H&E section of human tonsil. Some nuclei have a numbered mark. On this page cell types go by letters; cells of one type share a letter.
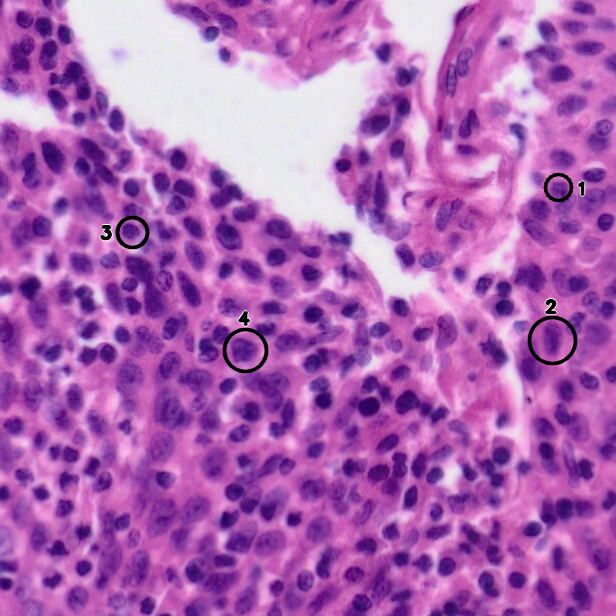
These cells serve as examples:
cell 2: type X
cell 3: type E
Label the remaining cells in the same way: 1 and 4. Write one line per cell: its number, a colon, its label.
1: type X
4: type X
